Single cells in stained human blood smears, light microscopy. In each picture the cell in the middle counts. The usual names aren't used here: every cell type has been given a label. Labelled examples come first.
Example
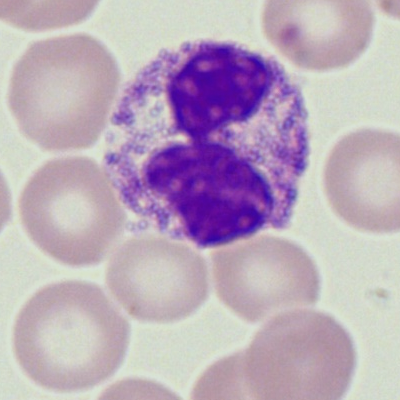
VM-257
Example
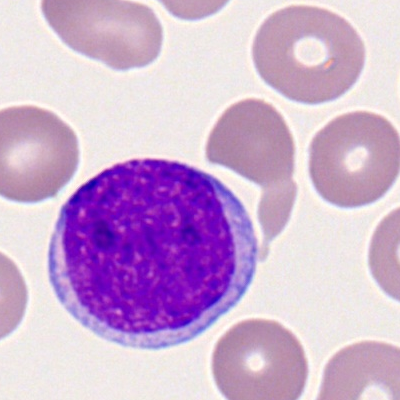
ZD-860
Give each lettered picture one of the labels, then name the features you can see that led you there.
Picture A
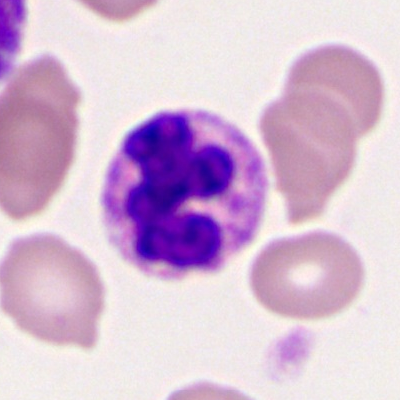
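Label: VM-257. A moderate rim of pale pink cytoplasm surrounds the nucleus.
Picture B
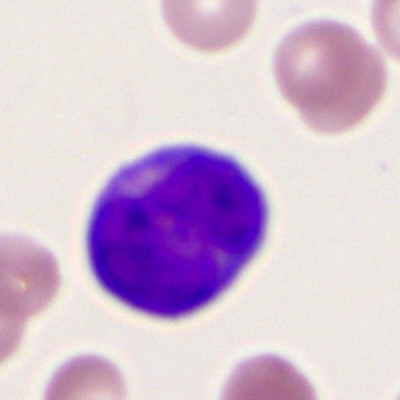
Label: ZD-860. At most a very thin rim of cytoplasm shows around the nucleus.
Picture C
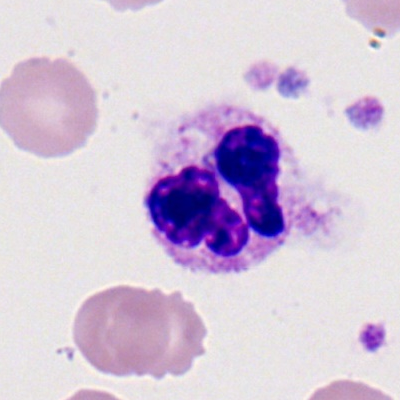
Label: VM-257. The nucleus is divided into two separate lobes.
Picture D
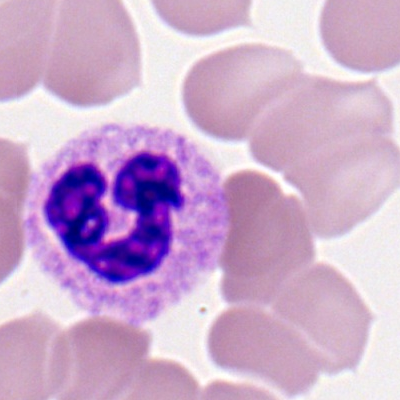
Label: VM-257. The cytoplasm is plentiful and pale pink-lilac.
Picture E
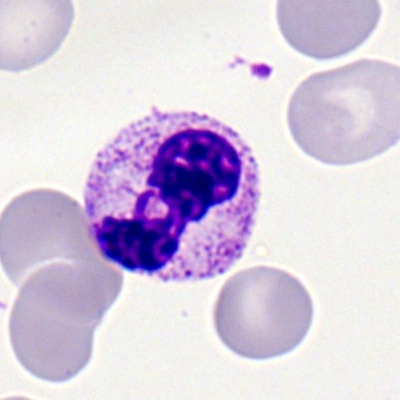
Label: VM-257. The cytoplasm is plentiful and pale pinkish-lilac.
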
